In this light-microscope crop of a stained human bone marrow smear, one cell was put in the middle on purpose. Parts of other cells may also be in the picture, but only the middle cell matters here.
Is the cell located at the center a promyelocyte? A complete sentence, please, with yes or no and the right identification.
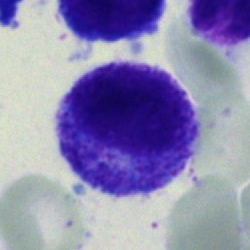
Yes, the cell in the middle is a promyelocyte.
